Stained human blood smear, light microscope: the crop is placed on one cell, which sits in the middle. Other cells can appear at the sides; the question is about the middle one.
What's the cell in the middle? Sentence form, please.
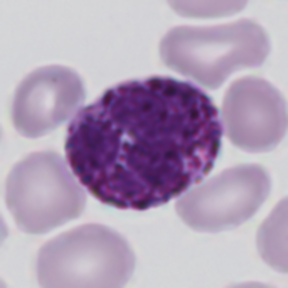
The central cell shown in this smear crop is a basophil.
